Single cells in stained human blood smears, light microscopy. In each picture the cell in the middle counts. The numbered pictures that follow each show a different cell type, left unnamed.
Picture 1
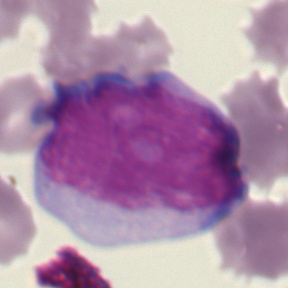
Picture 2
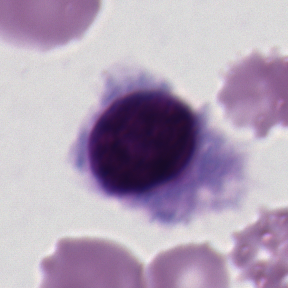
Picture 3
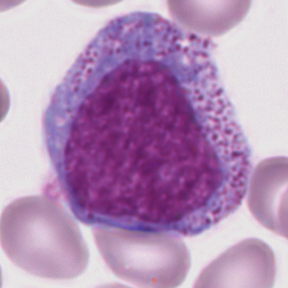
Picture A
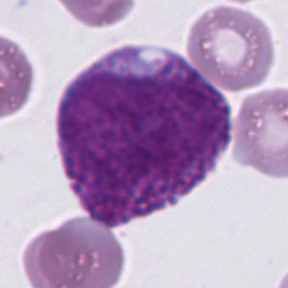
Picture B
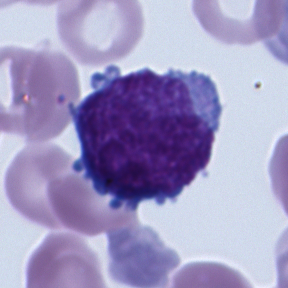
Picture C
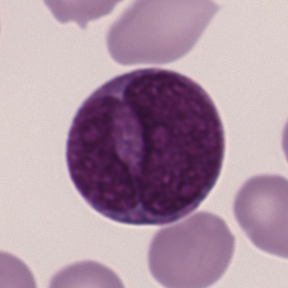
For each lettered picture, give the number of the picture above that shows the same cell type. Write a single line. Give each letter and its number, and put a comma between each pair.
A 3, B 1, C 1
